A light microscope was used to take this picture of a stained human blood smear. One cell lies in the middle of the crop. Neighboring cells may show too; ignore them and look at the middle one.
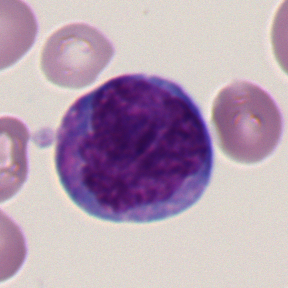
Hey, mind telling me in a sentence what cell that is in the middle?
Located at the centre of the crop is an atypical promyelocyte.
